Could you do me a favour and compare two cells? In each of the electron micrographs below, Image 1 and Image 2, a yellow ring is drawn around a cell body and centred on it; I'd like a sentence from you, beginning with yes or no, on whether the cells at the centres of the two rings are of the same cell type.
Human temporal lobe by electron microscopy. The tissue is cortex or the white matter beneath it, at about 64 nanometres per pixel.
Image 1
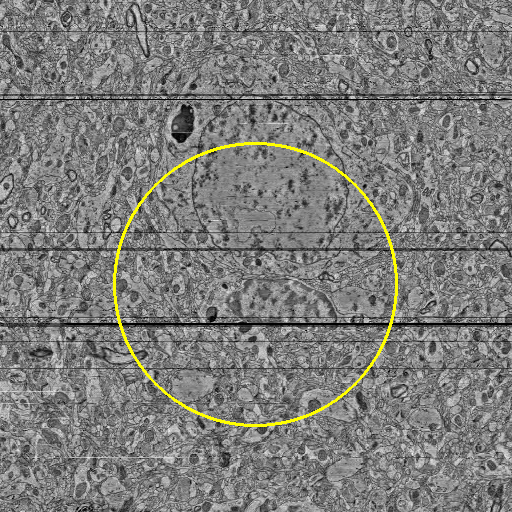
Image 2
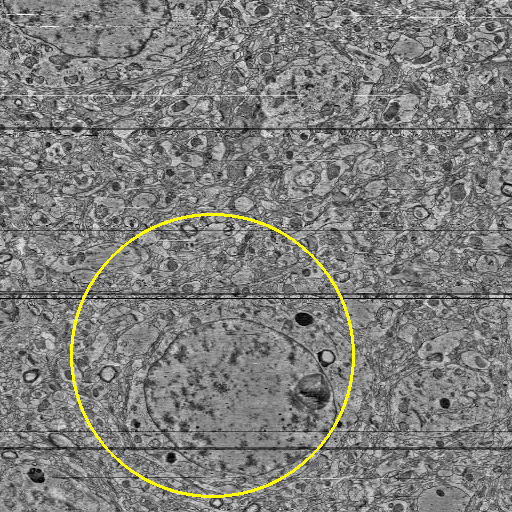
No, the two cells are of two cell types.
